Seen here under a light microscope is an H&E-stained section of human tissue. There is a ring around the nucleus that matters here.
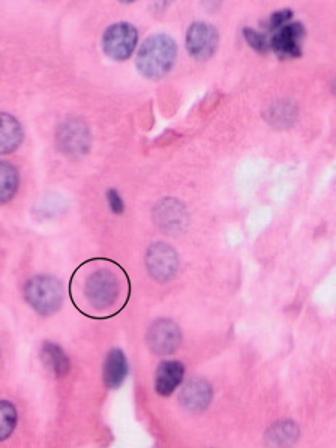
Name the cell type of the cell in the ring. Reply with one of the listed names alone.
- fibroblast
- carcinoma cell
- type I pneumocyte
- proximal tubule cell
proximal tubule cell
